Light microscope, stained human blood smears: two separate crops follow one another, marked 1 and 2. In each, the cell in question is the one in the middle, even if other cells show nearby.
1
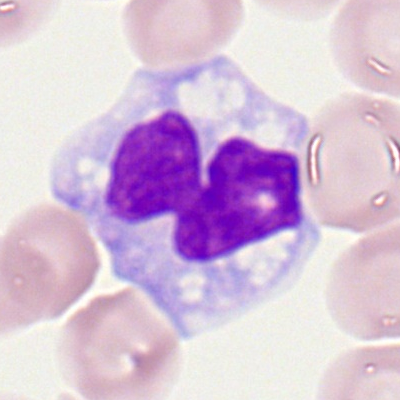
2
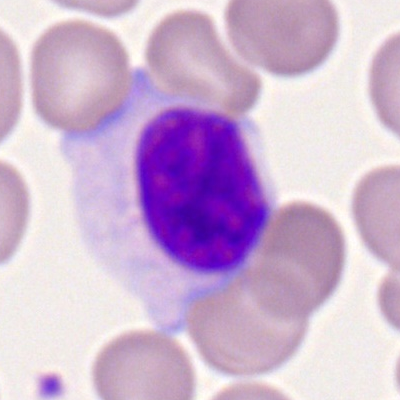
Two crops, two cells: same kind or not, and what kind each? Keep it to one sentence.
No, while a monocyte is found in crop 1, a lymphocyte is found in crop 2.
